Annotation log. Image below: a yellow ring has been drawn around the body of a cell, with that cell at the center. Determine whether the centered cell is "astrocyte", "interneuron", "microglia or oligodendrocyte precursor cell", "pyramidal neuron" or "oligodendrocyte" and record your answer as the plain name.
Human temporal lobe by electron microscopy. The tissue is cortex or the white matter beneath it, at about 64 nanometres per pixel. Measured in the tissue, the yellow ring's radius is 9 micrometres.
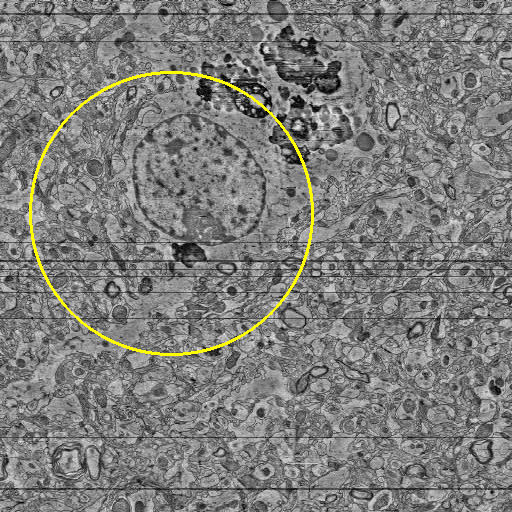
astrocyte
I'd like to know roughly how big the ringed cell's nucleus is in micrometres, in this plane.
Roughly 9 by 8 micrometres is the size of the nucleus in this plane.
